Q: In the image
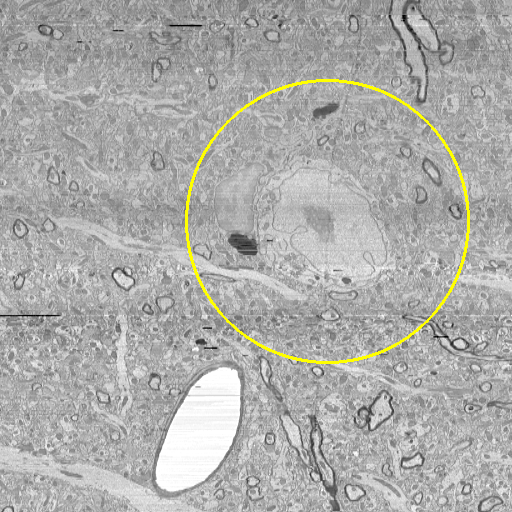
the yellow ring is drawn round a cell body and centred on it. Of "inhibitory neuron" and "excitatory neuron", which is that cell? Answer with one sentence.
The cell centred in the ring is an inhibitory neuron.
